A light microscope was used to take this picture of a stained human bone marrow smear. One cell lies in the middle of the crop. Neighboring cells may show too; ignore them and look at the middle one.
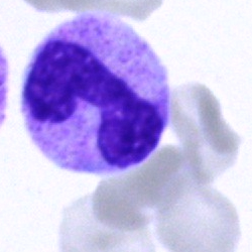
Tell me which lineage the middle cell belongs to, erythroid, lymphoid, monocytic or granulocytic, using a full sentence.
The cell in the middle of the frame falls under the granulocytic lineage.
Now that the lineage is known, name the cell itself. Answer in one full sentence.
Framed in the middle of the crop is a band neutrophil.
